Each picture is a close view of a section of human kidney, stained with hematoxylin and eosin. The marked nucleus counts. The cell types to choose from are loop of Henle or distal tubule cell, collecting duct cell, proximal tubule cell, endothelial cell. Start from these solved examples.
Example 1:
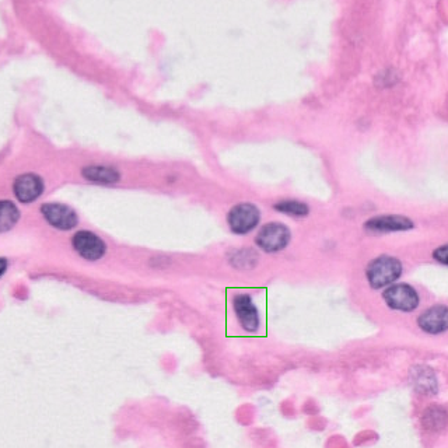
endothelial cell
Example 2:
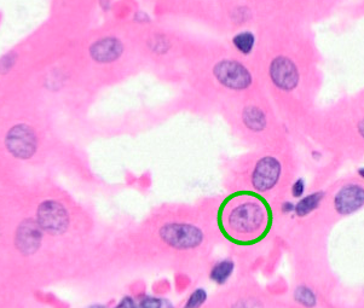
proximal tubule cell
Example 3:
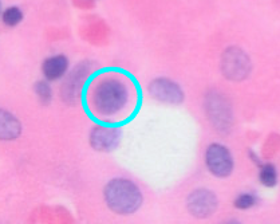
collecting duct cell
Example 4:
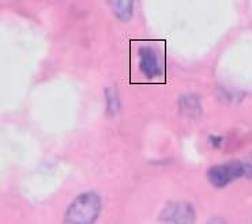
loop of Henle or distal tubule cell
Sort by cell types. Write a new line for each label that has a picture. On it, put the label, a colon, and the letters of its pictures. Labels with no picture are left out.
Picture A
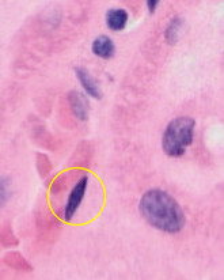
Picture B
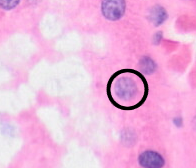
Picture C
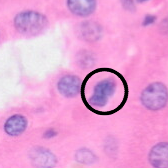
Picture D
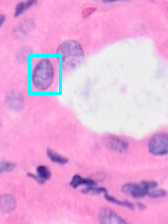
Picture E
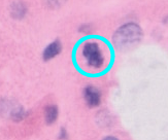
loop of Henle or distal tubule cell: D, E
proximal tubule cell: B
endothelial cell: A, C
